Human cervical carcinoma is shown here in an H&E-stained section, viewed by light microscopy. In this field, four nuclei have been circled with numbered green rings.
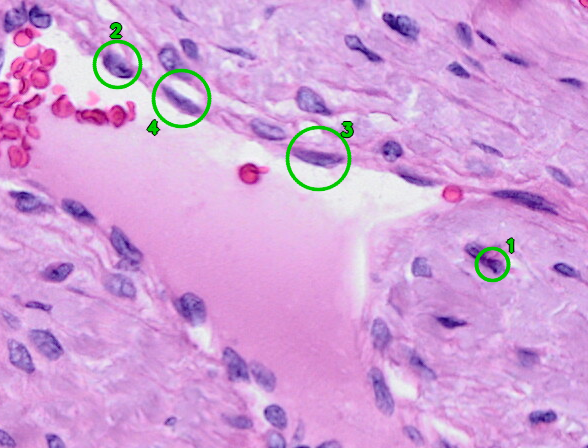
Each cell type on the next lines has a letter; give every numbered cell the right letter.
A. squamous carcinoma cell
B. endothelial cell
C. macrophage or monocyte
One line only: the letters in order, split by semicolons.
C; B; B; B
